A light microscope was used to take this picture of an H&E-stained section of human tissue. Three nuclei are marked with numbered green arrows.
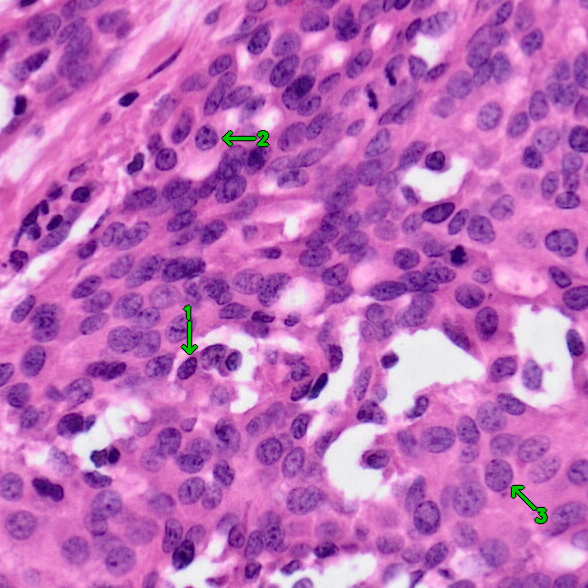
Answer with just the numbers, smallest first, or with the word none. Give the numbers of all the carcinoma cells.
3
